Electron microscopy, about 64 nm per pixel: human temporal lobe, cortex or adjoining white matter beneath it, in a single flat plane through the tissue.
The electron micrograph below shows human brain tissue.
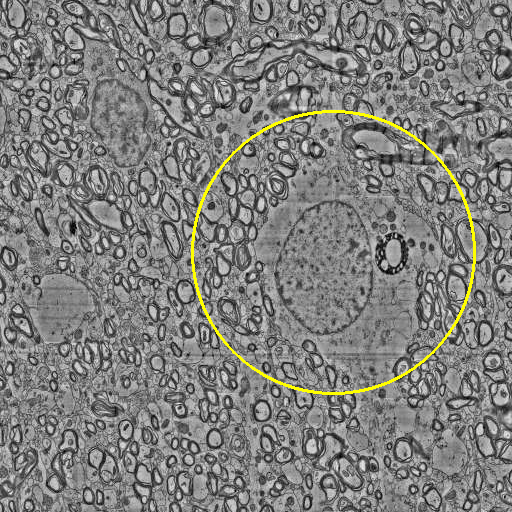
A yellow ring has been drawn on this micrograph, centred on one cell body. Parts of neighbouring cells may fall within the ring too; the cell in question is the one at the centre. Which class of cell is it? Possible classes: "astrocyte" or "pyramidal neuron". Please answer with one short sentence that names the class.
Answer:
In the centre of the ring sits an astrocyte.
